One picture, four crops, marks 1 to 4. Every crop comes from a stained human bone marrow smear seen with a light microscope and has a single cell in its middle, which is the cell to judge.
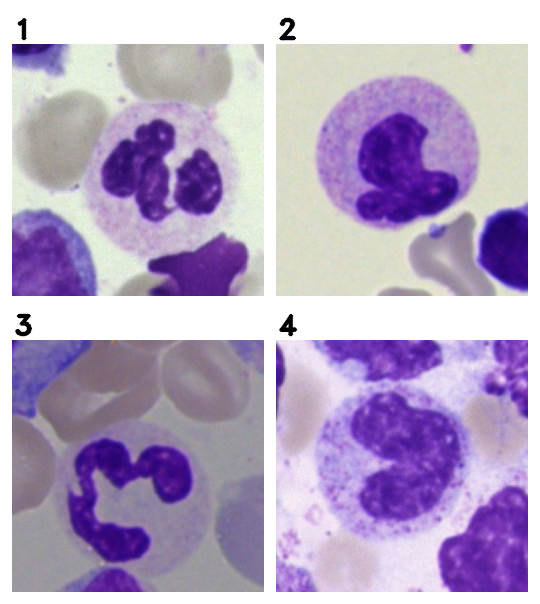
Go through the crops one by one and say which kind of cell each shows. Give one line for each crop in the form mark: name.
1: segmented neutrophil
2: band neutrophil
3: segmented neutrophil
4: band neutrophil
